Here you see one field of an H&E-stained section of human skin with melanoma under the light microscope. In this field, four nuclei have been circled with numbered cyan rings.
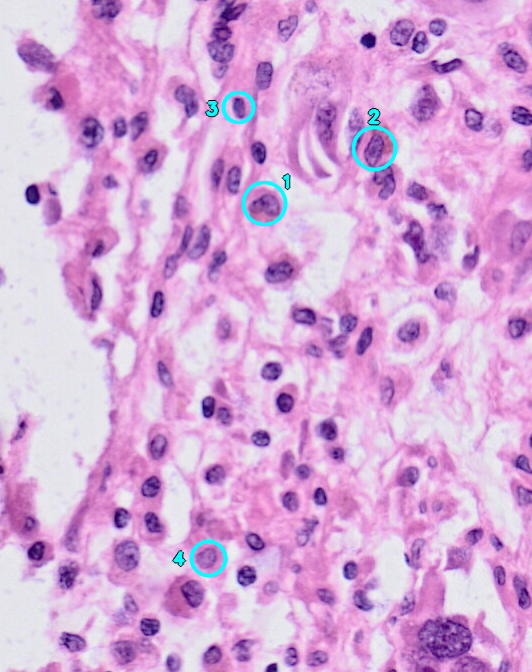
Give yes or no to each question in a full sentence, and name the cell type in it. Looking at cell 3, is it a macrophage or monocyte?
No, the right label for cell 3 is a lymphocyte rather than a macrophage or monocyte.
